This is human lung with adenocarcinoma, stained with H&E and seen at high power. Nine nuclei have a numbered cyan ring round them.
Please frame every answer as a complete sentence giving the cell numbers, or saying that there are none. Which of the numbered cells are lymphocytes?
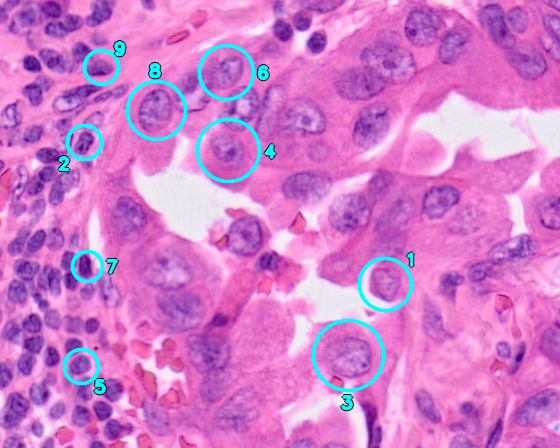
Identification: the cells with numbers 2, 5, 7 and 9 are lymphocytes.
